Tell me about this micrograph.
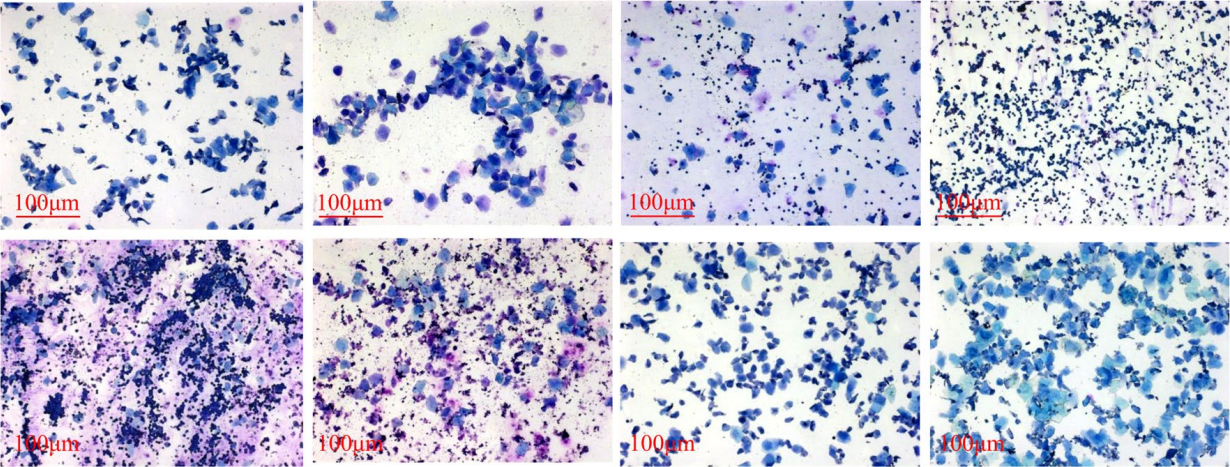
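Many cells are large, flat and polygonal, stained in shades of blue to blue-green, and lie singly or in loose sheets and clumps. Scattered among them, and very numerous in some fields, are tiny dark round dots far smaller than the flat cells. Some fields have a pinkish-purple background with dense dark debris. Other fields are dominated almost entirely by the large blue flat cells.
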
